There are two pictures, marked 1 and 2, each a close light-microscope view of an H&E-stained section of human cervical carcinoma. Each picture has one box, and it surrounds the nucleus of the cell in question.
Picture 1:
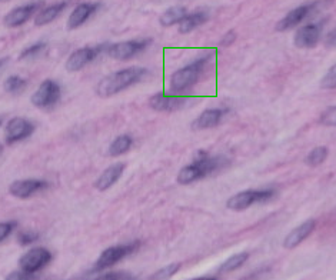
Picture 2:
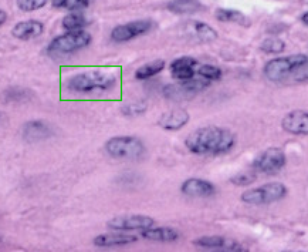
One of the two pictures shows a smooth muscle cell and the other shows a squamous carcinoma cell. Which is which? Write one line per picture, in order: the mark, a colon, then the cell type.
1: smooth muscle cell
2: squamous carcinoma cell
